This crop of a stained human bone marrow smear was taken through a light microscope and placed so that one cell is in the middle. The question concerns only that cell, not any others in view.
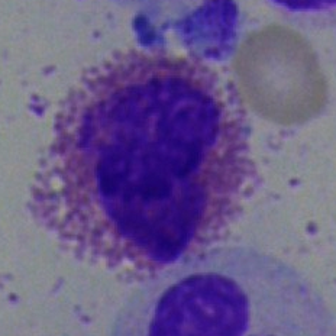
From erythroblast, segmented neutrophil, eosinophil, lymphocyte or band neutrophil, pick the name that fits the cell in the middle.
eosinophil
